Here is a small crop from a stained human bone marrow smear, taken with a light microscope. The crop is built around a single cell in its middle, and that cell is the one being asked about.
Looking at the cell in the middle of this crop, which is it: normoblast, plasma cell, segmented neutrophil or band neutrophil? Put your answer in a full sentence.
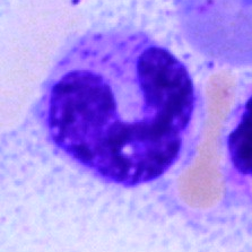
The centrally positioned cell in the crop represents a band neutrophil.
